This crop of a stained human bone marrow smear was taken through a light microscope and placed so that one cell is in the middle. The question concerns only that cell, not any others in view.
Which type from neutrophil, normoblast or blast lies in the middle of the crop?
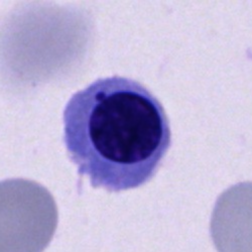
normoblast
